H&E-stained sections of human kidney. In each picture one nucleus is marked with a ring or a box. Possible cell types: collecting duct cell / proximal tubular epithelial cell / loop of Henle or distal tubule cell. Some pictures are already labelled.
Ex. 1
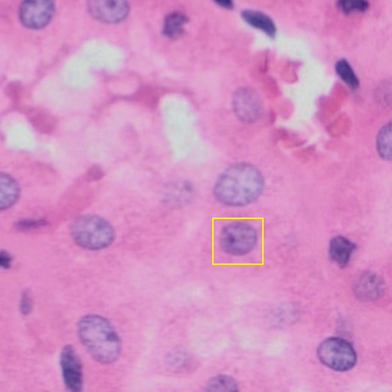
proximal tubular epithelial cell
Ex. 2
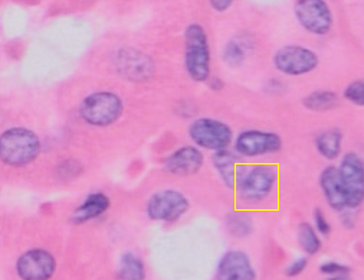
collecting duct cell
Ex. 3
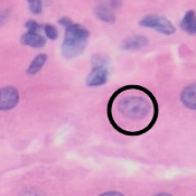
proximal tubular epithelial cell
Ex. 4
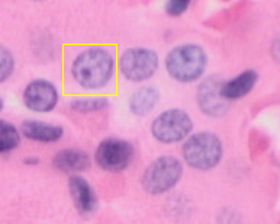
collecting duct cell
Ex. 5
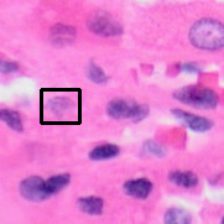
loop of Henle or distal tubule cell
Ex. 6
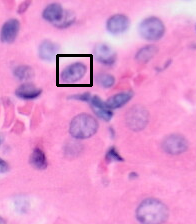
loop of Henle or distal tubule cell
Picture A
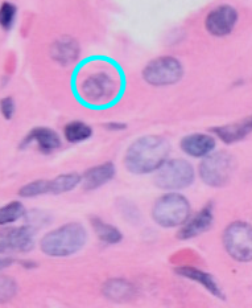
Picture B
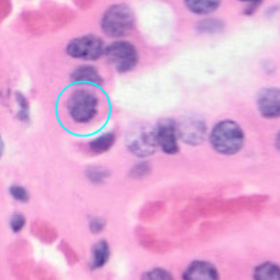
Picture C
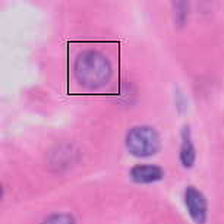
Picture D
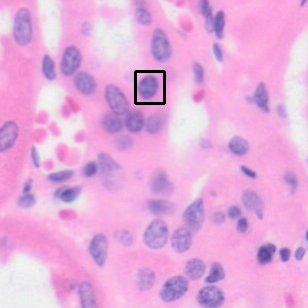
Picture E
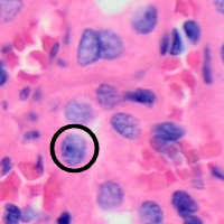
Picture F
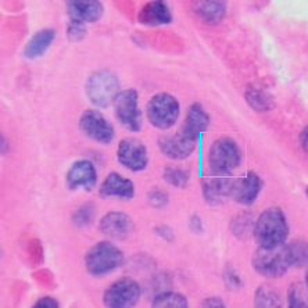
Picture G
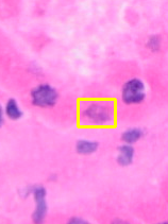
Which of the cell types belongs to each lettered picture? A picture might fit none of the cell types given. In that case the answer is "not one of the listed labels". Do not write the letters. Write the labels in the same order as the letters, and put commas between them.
loop of Henle or distal tubule cell, collecting duct cell, proximal tubular epithelial cell, collecting duct cell, loop of Henle or distal tubule cell, collecting duct cell, proximal tubular epithelial cell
